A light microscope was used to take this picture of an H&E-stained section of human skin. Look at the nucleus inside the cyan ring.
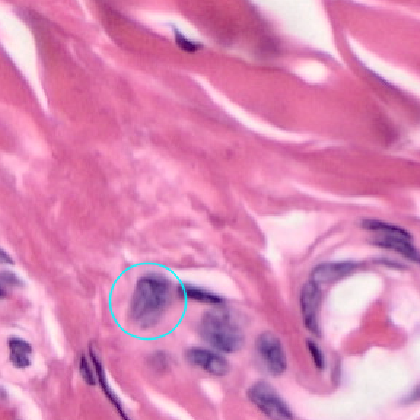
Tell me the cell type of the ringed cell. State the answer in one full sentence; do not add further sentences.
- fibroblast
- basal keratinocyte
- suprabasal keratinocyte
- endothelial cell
Placed in its cell category, the ringed cell is an endothelial cell.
